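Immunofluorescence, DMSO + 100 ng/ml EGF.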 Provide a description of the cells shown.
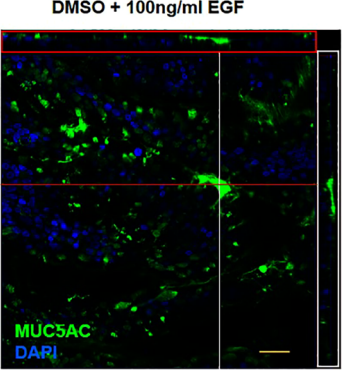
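Green cells are scattered across the field, many larger and more irregular than small dots, some with ragged or elongated outlines and strands of green extending between neighbouring cells; one bright, star-shaped green cell stands out near the centre. Edge strips give orthogonal cross-sections through the layer, where green patches lie within and on the surface of the thin epithelial sheet.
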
